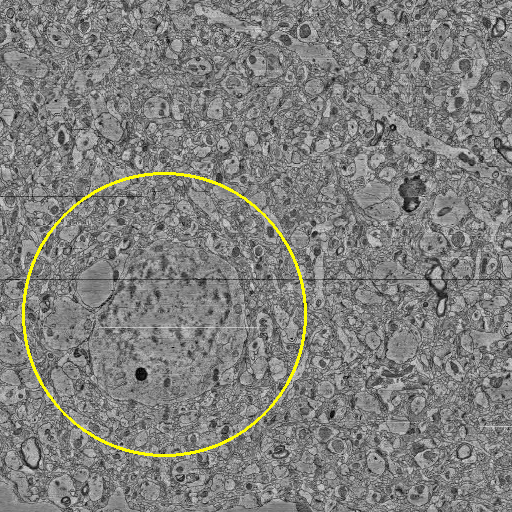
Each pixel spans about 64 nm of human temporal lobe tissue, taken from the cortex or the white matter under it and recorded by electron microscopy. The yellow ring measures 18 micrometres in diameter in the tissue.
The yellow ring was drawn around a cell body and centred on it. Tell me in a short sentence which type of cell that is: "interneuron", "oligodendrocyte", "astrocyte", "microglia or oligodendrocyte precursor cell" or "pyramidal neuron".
The cell at the ring's centre is an interneuron.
